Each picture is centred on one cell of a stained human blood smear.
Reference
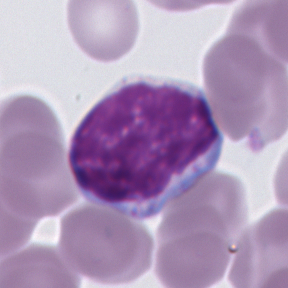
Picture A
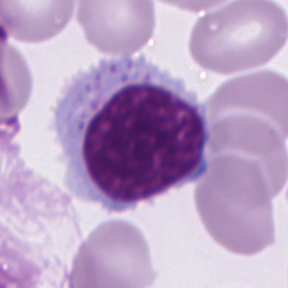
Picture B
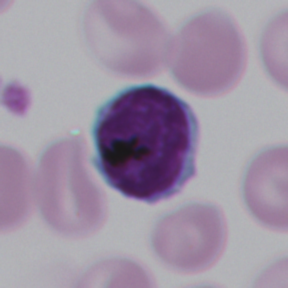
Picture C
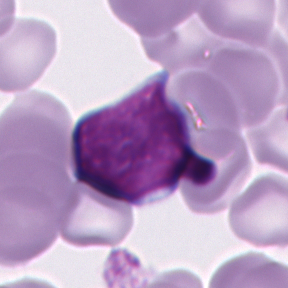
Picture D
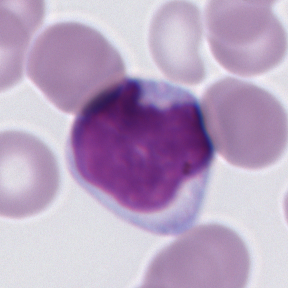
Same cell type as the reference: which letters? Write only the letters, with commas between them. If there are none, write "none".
A, D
